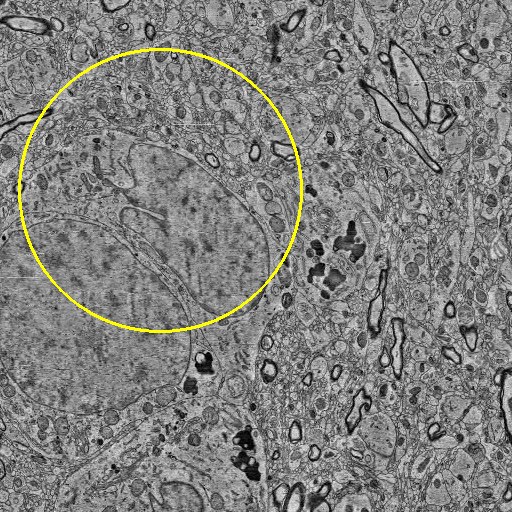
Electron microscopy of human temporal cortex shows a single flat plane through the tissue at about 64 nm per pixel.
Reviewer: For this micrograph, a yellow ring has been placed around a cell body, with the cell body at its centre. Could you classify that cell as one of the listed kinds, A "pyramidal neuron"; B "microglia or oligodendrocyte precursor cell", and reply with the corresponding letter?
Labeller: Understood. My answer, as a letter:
B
